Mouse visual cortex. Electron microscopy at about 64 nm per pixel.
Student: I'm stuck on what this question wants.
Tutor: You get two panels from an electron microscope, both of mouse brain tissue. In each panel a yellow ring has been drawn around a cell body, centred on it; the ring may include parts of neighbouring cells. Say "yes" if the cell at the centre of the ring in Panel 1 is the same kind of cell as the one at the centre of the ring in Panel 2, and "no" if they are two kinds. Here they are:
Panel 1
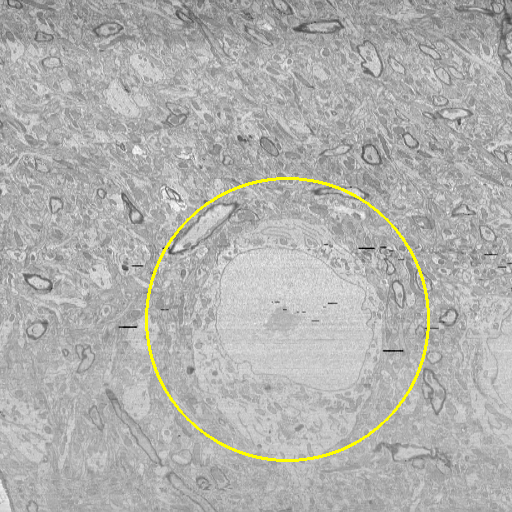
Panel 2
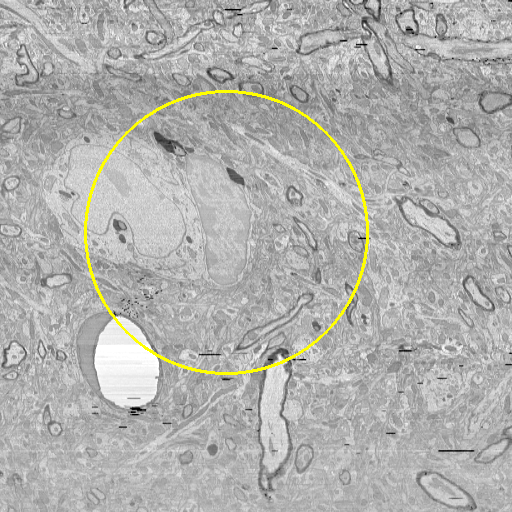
no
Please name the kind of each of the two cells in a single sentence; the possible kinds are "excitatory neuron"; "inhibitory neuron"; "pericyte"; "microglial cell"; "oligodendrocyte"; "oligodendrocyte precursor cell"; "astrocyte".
In the first picture the ring is centred on an excitatory neuron, and in the second on a microglial cell.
